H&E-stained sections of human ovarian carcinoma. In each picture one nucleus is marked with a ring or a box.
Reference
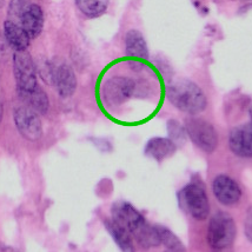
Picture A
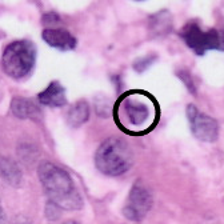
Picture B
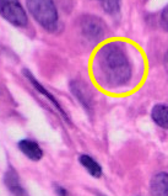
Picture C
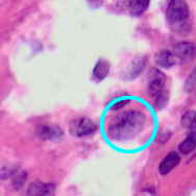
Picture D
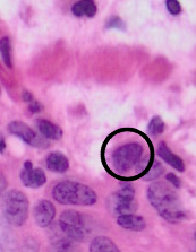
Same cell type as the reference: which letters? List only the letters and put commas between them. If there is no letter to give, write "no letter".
A, B, C, D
